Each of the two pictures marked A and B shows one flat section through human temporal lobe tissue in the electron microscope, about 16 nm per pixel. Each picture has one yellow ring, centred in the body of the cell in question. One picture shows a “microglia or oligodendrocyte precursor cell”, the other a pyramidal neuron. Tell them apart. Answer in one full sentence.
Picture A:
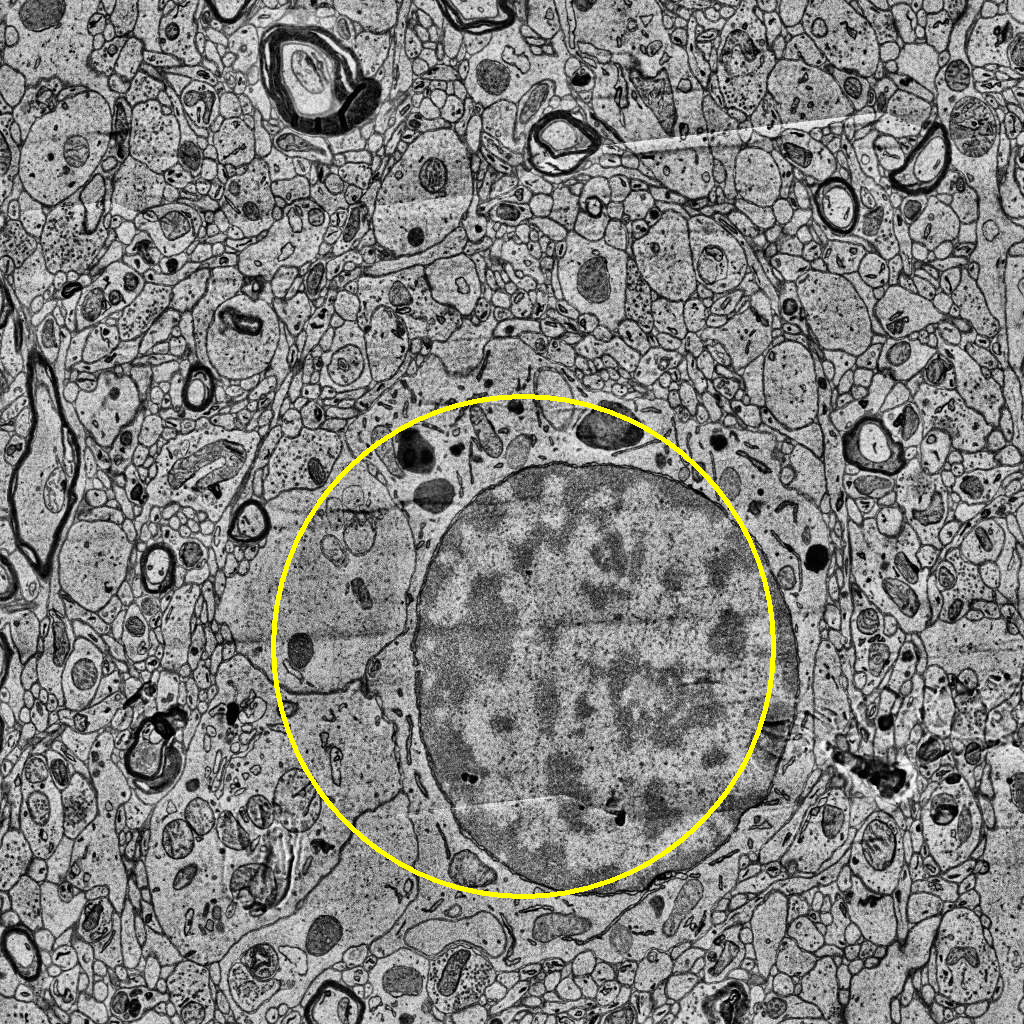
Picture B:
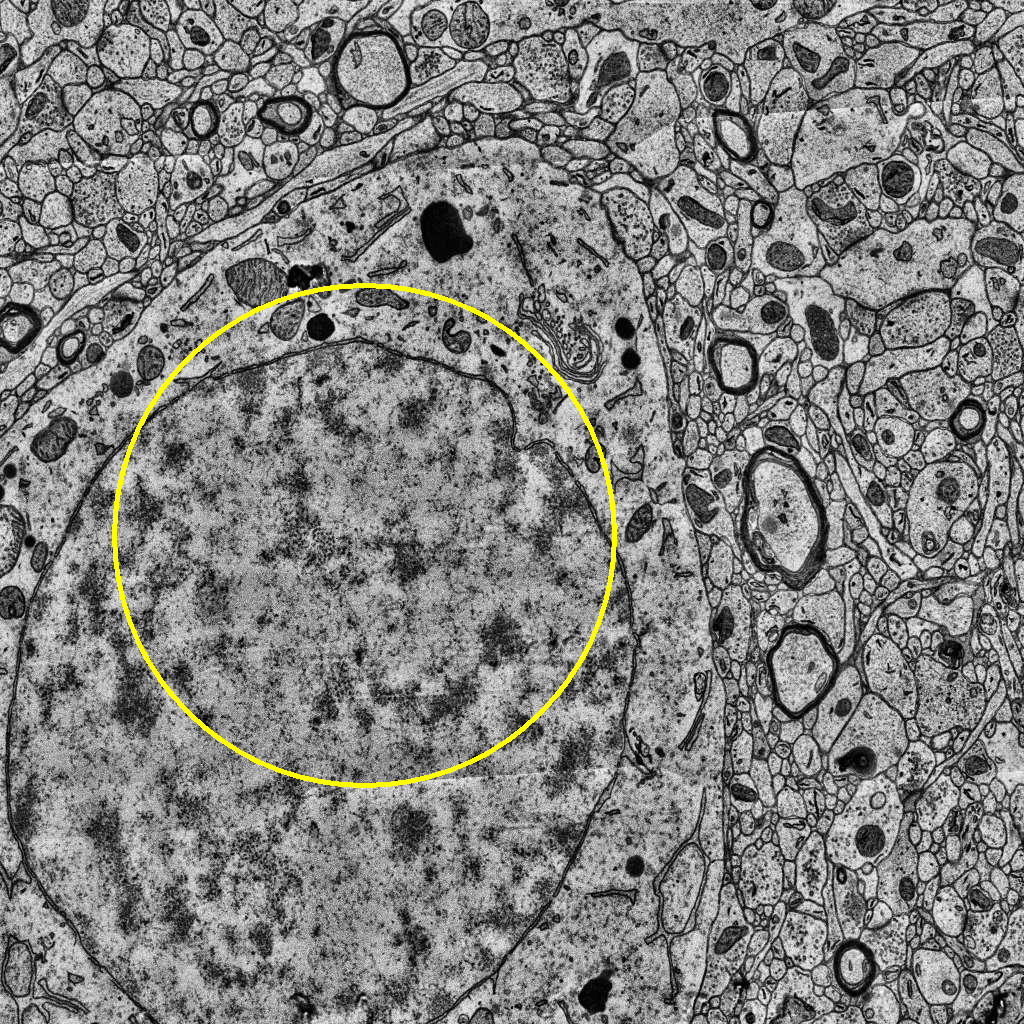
Picture A shows a “microglia or oligodendrocyte precursor cell” and picture B shows a pyramidal neuron.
